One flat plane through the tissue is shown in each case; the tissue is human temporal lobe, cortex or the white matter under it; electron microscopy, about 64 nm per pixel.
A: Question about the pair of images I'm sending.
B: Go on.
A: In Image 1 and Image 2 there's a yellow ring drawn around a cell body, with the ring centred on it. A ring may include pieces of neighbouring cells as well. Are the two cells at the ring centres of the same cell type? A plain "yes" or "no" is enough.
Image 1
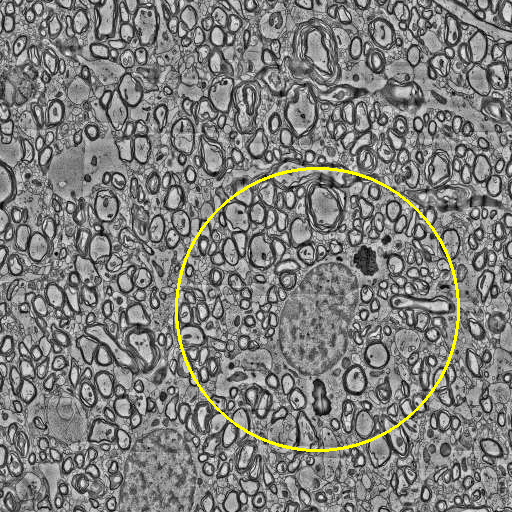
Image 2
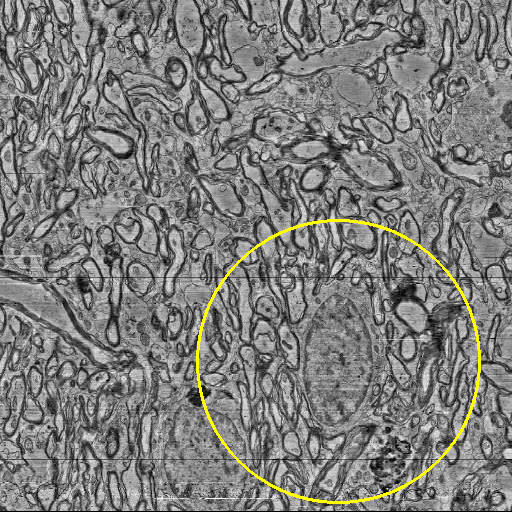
yes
